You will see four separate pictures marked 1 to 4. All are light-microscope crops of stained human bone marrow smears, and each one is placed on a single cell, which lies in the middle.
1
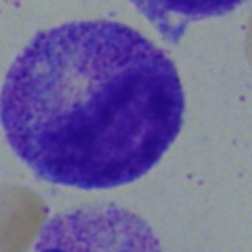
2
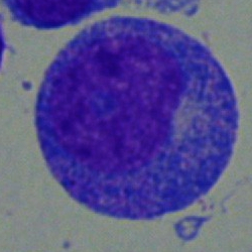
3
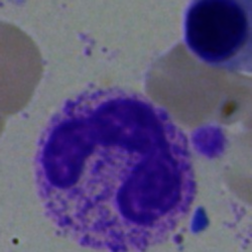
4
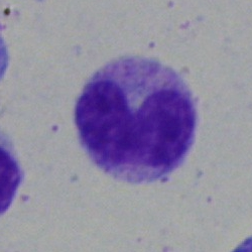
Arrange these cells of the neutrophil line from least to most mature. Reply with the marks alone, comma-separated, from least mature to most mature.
2, 1, 4, 3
